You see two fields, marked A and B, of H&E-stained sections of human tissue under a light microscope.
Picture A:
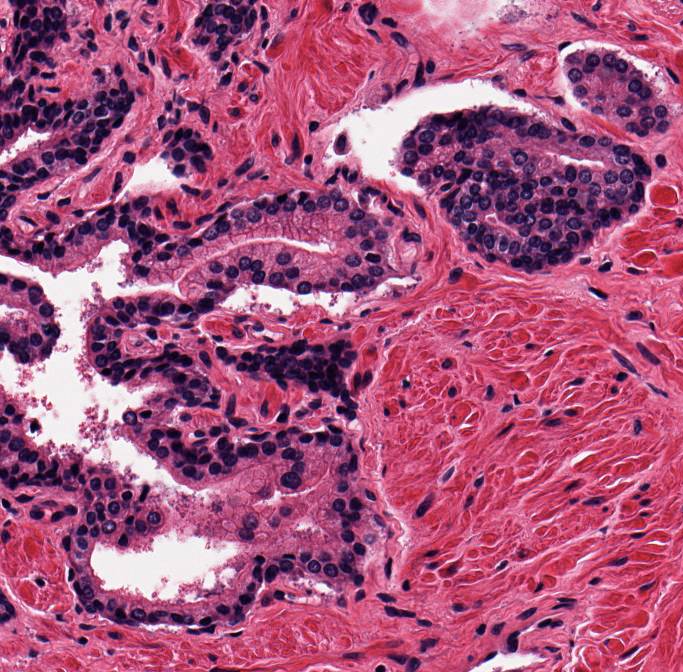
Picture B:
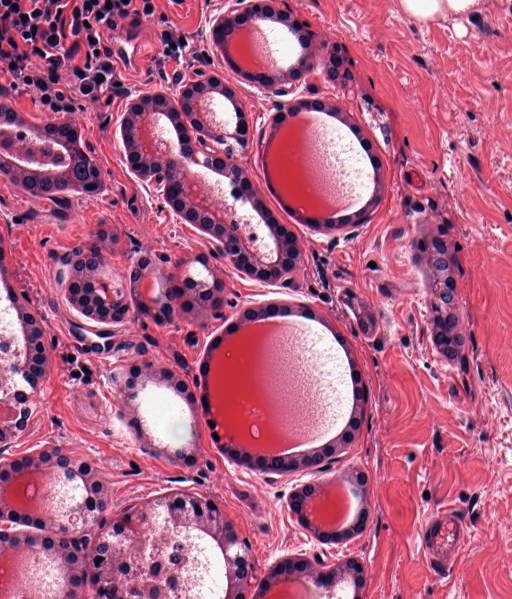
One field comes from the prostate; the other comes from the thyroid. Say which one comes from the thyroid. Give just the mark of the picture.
B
